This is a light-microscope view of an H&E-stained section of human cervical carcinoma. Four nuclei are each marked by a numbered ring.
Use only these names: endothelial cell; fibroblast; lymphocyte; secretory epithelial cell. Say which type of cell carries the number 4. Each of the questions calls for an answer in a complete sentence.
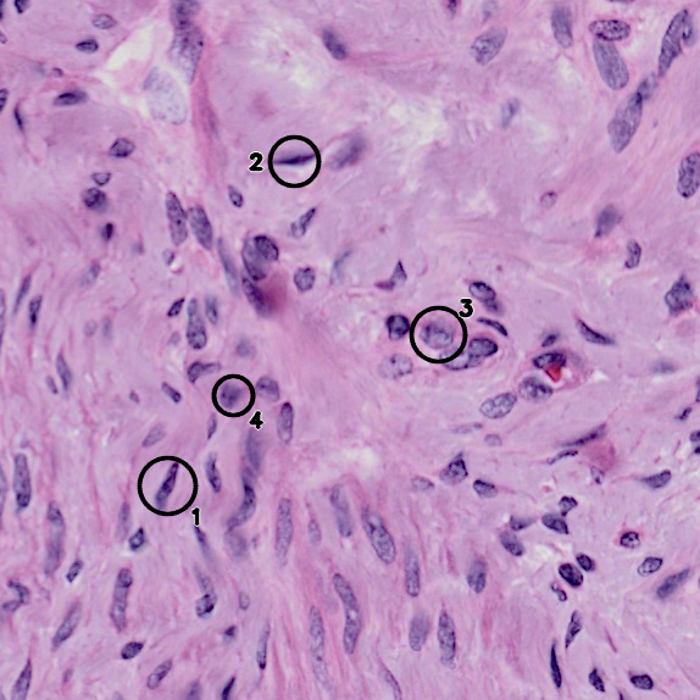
Of the numbered cells, the one labelled 4 is a fibroblast.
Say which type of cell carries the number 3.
Classified as an endothelial cell is the cell with the number 3.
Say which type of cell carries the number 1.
At number 1, the marked cell is a fibroblast.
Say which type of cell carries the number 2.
Belonging to a fibroblast is the nucleus that carries the number 2.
